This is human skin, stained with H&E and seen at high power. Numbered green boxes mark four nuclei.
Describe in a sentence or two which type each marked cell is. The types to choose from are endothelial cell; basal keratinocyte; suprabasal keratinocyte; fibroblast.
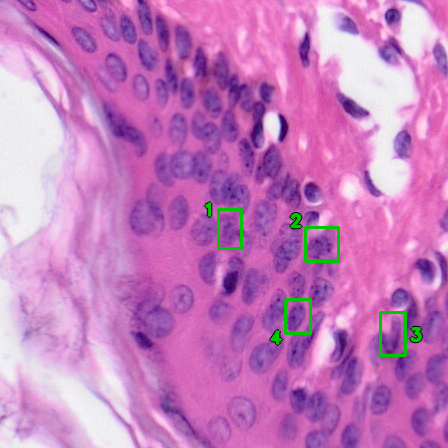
Cell 1 is a suprabasal keratinocyte. Cells 2, 3 and 4 are basal keratinocytes.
